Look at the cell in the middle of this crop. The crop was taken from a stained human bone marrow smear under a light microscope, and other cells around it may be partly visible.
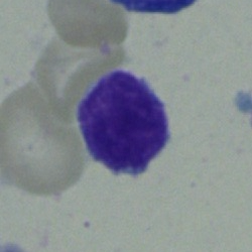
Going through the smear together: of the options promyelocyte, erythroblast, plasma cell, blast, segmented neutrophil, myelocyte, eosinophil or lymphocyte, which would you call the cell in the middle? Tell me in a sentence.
In the central position of this crop, the cell is a blast.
